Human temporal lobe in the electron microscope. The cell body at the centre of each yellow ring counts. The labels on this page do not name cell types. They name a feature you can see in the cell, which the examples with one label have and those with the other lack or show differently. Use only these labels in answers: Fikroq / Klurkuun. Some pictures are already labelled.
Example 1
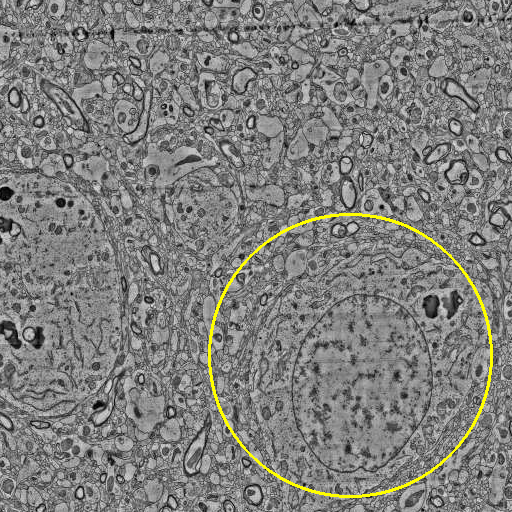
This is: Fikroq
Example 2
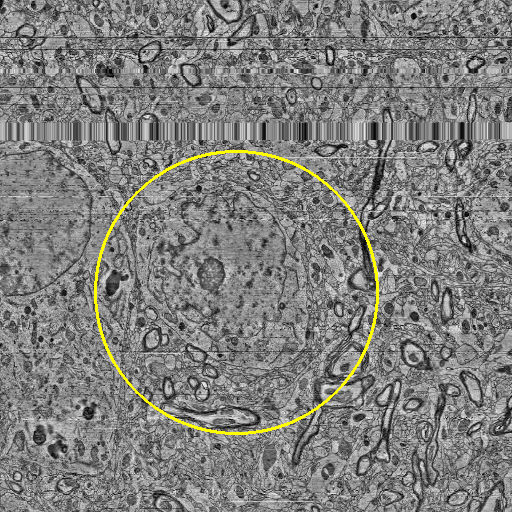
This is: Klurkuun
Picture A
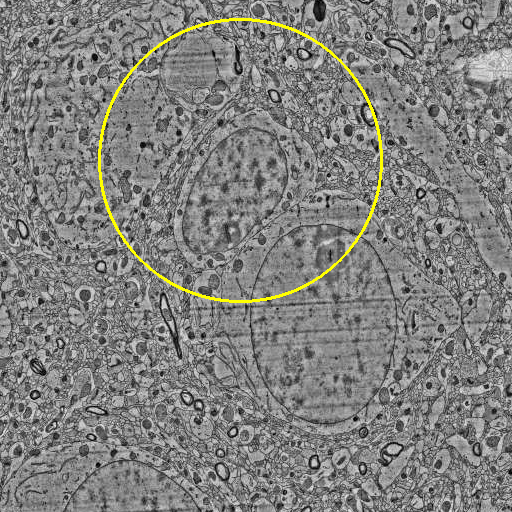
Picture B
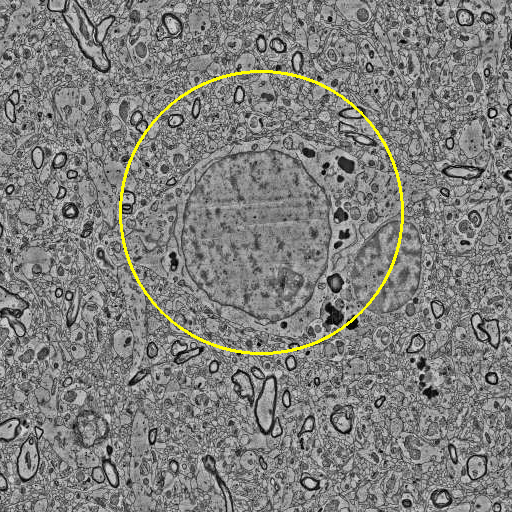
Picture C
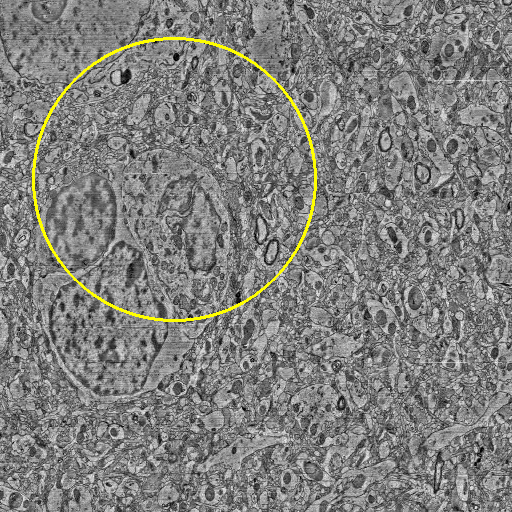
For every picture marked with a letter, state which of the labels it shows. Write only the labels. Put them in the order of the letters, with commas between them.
Fikroq, Fikroq, Klurkuun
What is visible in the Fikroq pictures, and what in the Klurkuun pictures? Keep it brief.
Fikroq: smooth nuclear envelopes without deep folds; Klurkuun: deeply folded or indented nuclear envelopes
